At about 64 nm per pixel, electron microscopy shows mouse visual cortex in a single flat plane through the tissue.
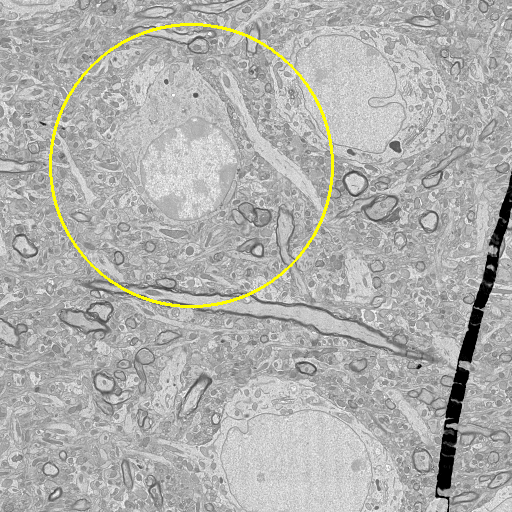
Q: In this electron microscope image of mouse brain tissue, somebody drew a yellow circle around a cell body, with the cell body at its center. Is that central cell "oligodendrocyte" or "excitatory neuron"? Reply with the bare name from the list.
oligodendrocyte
